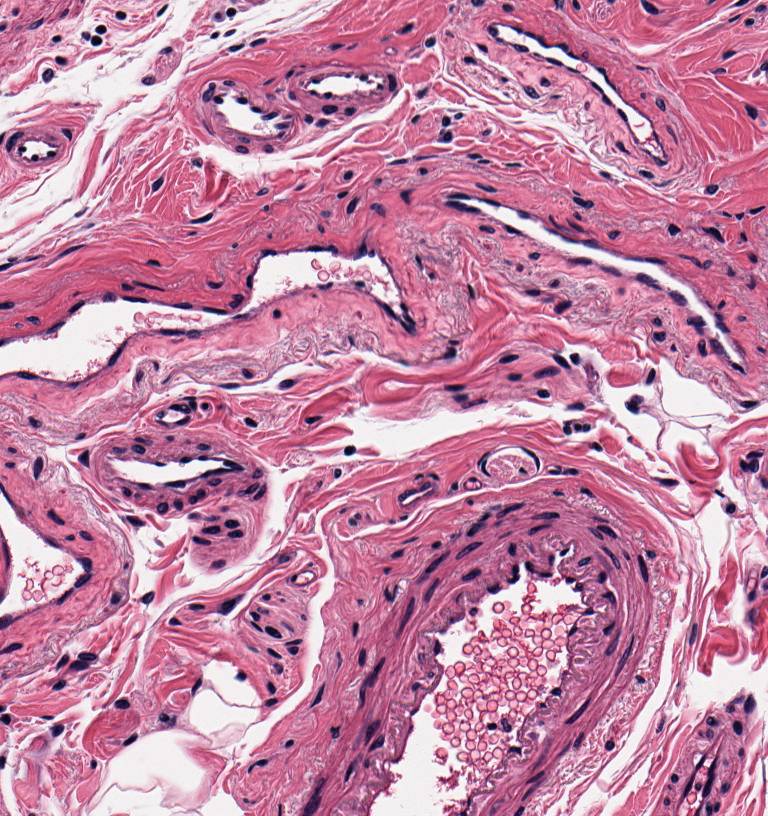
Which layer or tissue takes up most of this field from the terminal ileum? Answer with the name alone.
dense connective tissue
